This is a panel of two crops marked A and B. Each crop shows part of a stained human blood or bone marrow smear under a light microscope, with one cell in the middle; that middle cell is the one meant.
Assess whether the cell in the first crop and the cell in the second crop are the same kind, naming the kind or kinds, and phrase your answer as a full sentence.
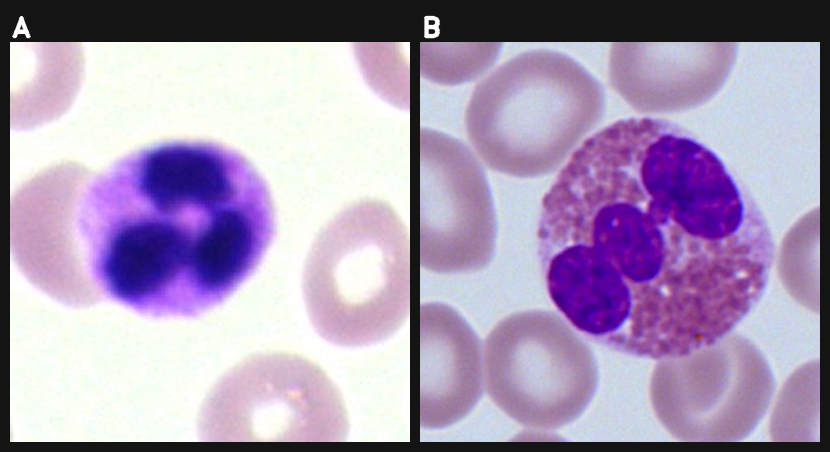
No, crop A carries a segmented neutrophil and crop B carries an eosinophil.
